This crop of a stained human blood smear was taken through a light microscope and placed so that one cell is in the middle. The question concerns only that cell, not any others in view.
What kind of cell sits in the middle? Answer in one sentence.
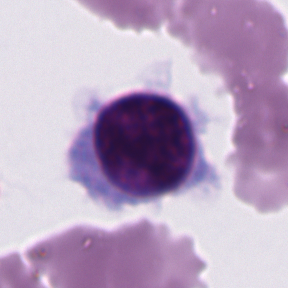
The crop shows a hairy cell in its centre.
